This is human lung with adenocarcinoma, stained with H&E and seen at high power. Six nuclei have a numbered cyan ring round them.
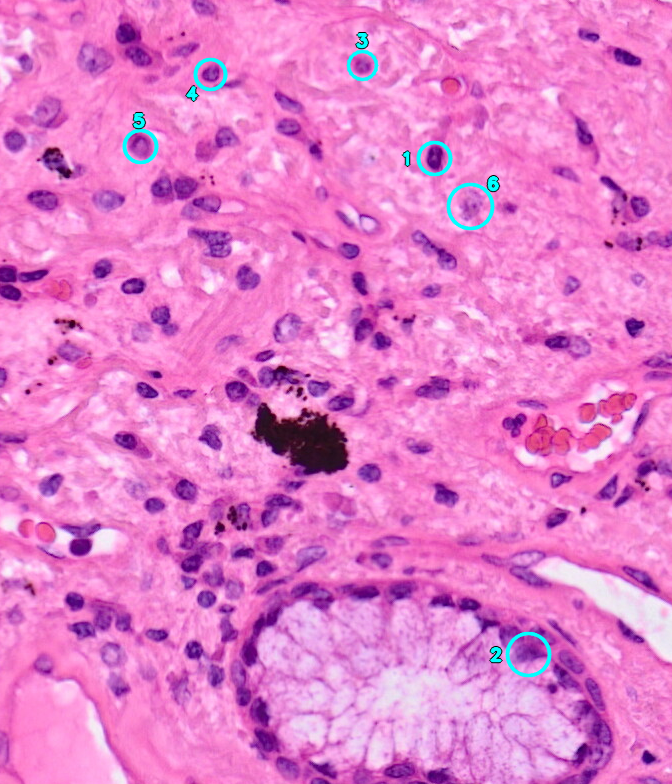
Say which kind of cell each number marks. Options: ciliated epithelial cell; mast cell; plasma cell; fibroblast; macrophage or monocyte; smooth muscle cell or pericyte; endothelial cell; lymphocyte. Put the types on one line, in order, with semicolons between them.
plasma cell; ciliated epithelial cell; mast cell; mast cell; plasma cell; fibroblast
